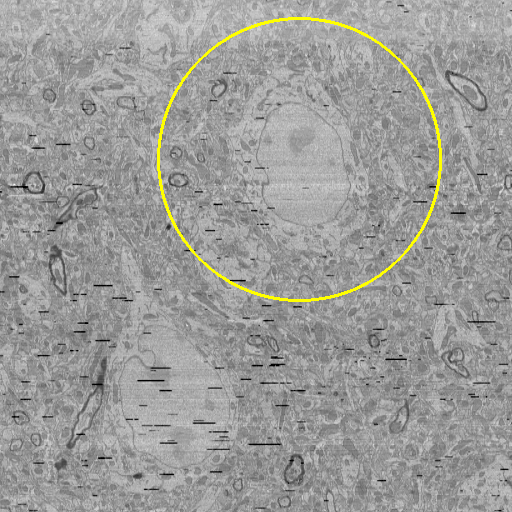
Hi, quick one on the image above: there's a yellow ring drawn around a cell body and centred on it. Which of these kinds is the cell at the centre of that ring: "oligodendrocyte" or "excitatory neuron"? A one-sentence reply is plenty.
The cell at the centre of the ring is an excitatory neuron.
